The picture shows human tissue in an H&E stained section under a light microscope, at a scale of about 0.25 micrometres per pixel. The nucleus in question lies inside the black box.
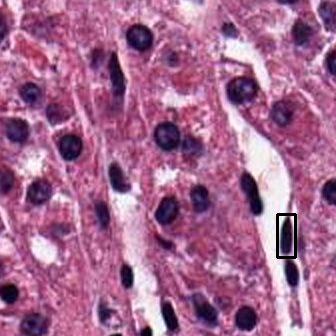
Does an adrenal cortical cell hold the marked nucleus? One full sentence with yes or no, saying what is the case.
No, the marked nucleus is found in a supporting cell instead of in an adrenal cortical cell.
